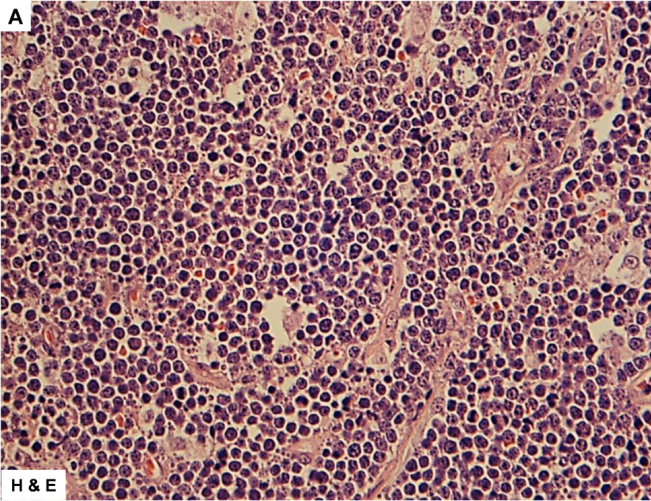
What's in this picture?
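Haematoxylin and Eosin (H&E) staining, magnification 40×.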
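A diffuse sheet of densely packed medium-sized lymphocytes fills the field, with no glandular or follicular structure visible. The cells are round and fairly uniform, each with a rounded, dark purple nucleus and a thin rim of cytoplasm. They are crowded together edge to edge. A few scattered cells appear larger than their neighbours.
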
